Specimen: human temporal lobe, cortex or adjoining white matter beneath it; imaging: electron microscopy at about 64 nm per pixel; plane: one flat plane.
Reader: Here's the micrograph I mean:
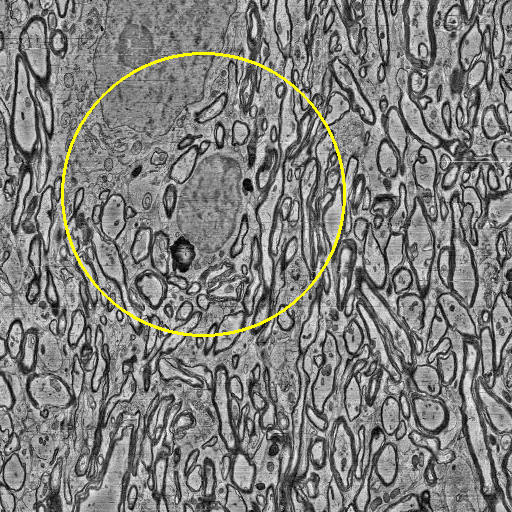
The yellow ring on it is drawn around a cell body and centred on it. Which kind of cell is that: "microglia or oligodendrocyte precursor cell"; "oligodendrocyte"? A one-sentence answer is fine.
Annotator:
The ring is centred on an oligodendrocyte.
